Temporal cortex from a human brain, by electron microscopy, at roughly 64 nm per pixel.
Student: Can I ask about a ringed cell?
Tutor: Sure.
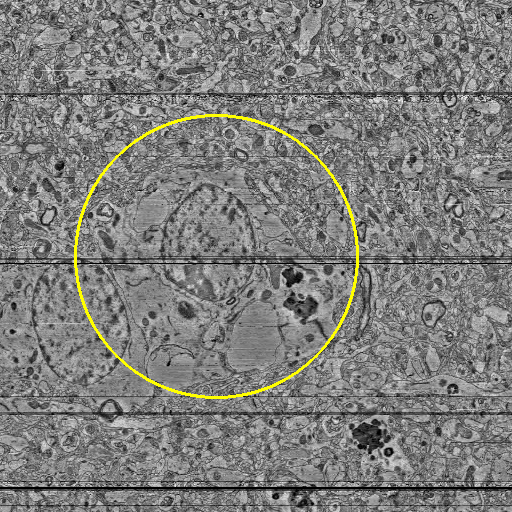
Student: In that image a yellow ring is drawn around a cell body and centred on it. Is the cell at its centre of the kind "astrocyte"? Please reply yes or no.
Yes, the cell is of that kind.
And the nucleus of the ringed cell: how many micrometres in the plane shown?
Roughly 9 by 6 micrometres is the size of the nucleus in this plane.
